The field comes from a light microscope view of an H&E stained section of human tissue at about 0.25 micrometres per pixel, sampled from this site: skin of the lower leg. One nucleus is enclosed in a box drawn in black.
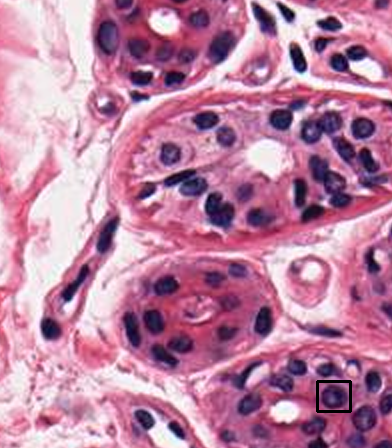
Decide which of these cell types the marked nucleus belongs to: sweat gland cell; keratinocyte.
sweat gland cell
